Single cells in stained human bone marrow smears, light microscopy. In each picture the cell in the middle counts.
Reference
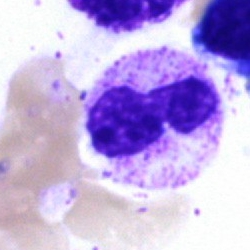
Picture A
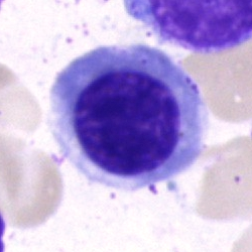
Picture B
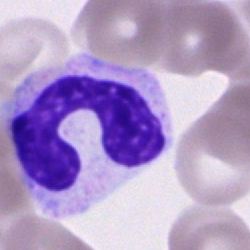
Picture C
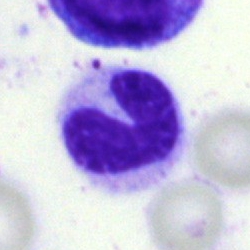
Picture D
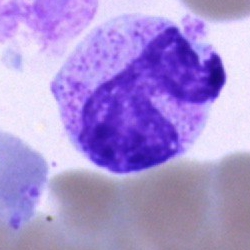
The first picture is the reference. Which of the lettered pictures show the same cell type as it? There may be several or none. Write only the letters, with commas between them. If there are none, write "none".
B, C, D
